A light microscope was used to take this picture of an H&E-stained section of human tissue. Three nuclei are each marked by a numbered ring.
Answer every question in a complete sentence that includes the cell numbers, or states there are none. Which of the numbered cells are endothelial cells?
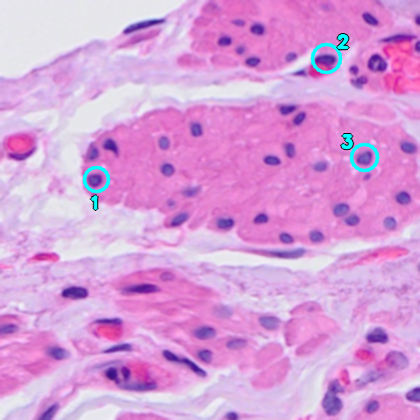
Only the cell at mark 2 is an endothelial cell, and no other marked cell is.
